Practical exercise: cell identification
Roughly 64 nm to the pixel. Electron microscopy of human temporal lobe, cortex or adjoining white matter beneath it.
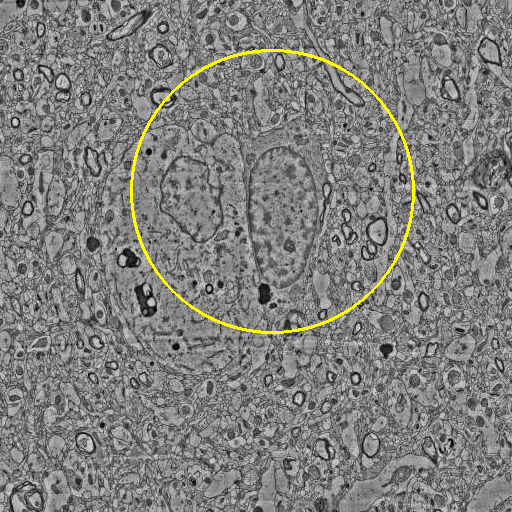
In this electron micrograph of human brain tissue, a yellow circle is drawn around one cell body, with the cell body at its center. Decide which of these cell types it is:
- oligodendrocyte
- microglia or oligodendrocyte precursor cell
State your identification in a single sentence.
The ringed cell is an oligodendrocyte.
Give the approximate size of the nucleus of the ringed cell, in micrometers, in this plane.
The nucleus measures about 9 by 5 micrometres in this plane.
